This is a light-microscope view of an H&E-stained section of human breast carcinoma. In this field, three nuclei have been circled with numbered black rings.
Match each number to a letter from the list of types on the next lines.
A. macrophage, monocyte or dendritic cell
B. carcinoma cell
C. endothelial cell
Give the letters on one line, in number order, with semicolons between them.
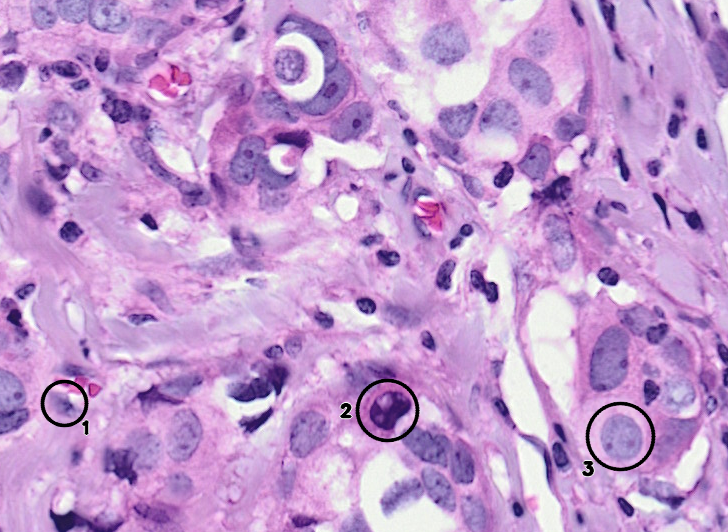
C; B; B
